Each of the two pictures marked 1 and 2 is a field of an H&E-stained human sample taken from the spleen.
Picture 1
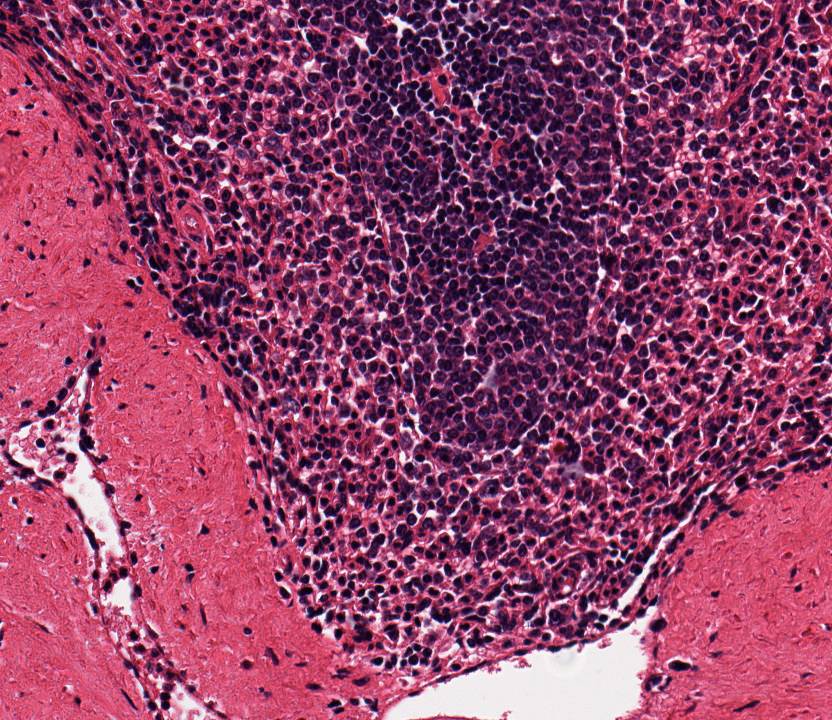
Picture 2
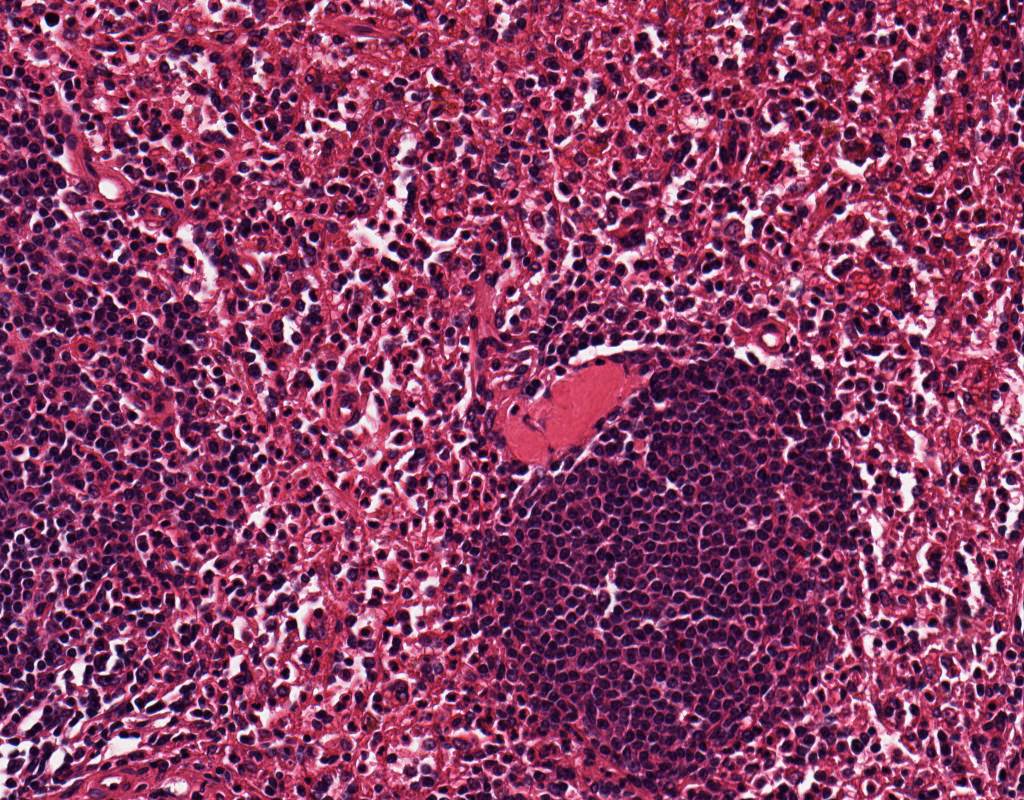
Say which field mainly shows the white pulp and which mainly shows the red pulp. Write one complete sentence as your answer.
Picture 2 mainly shows the red pulp, while picture 1 mainly shows the white pulp.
